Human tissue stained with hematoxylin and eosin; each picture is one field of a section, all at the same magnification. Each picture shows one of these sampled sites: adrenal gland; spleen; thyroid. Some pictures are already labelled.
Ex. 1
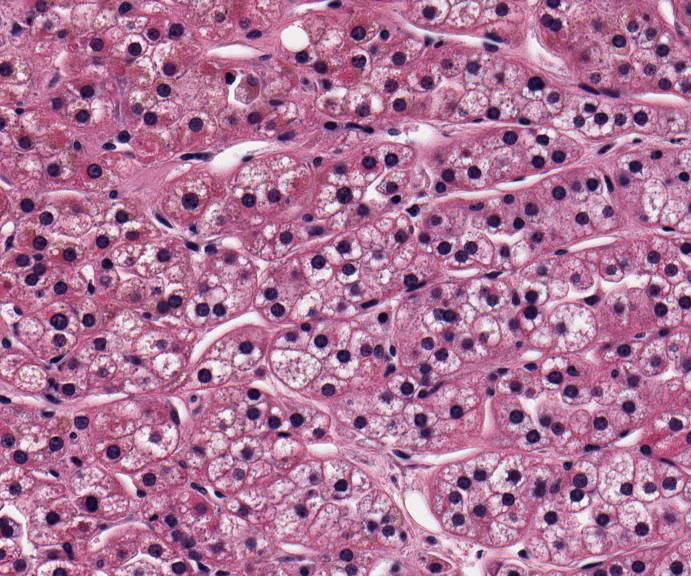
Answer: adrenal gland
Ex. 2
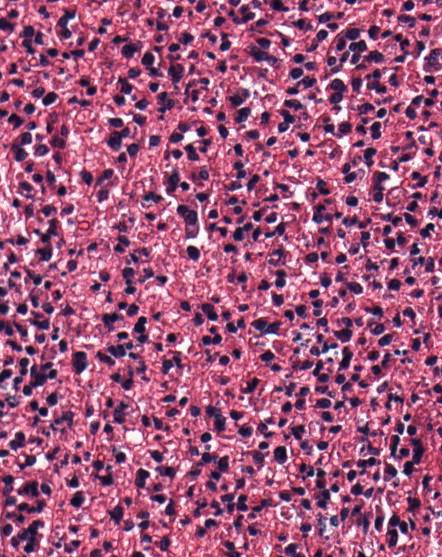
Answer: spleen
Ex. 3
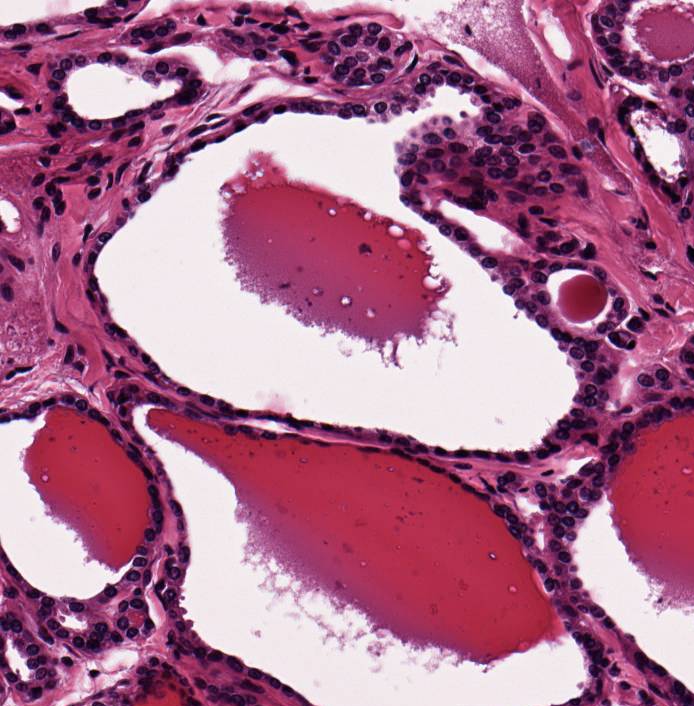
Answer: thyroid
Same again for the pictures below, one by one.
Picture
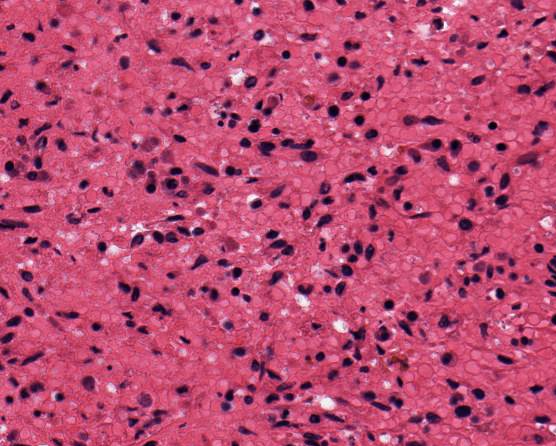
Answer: spleen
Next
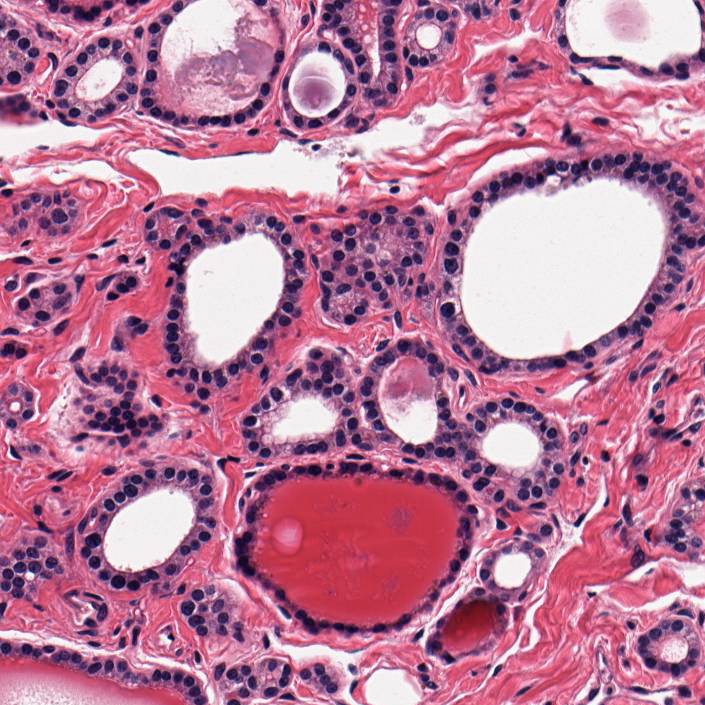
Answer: thyroid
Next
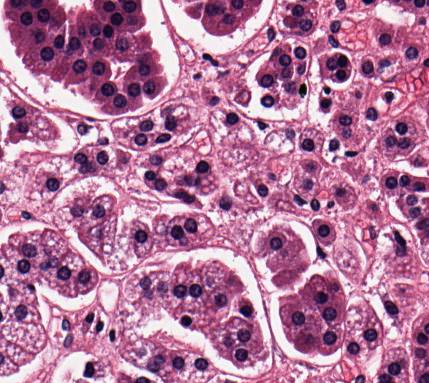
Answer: adrenal gland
